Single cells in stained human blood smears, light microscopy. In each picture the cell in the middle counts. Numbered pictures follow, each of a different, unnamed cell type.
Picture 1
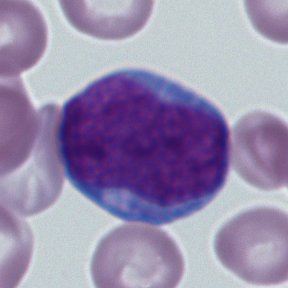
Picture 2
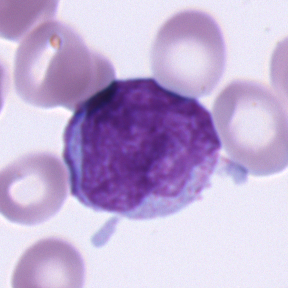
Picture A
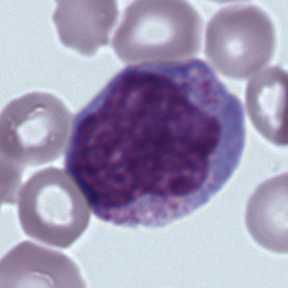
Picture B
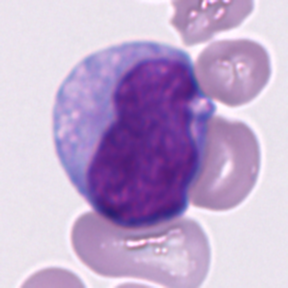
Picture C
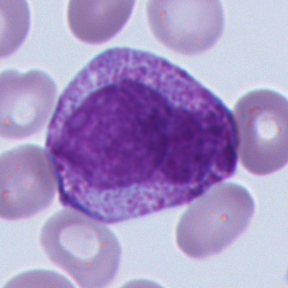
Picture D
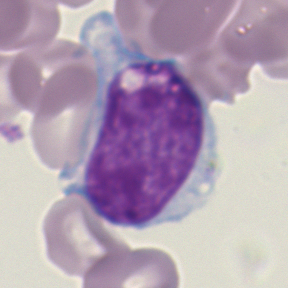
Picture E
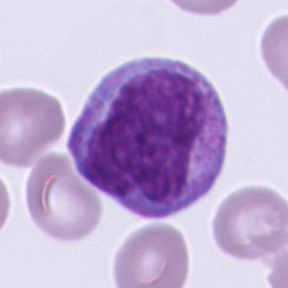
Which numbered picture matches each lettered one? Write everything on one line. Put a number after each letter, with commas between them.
A 2, B 2, C 2, D 1, E 2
